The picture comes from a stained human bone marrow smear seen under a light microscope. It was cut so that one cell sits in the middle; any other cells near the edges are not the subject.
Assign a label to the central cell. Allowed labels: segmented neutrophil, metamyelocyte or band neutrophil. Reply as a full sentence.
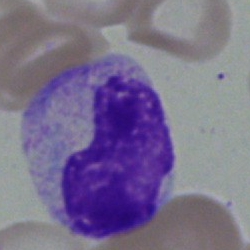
Centred in the crop is a metamyelocyte.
